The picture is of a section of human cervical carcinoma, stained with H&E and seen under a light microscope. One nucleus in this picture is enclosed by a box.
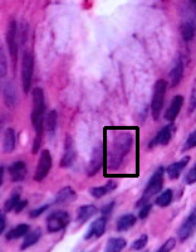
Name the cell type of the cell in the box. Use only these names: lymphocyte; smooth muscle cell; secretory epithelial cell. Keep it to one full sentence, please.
The category to which the cell in the box belongs is that of a secretory epithelial cell.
